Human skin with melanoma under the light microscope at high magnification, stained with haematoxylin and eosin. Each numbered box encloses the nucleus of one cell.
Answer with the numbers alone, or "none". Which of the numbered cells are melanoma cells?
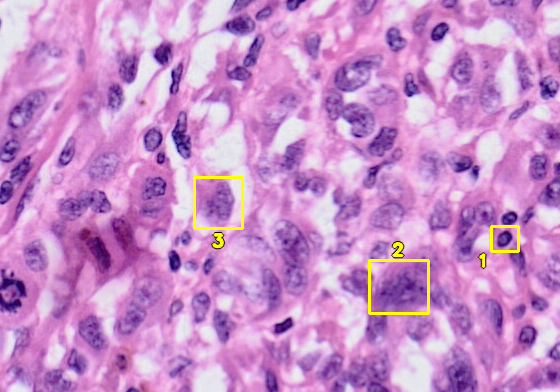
2, 3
